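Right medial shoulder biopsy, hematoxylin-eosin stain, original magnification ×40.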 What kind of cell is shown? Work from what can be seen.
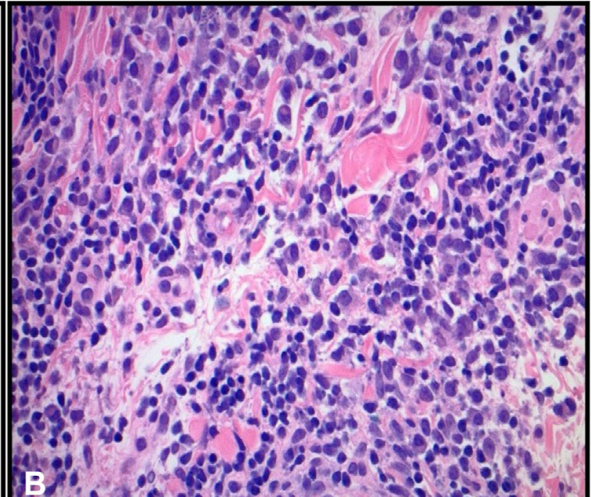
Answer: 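Monotonous centrocyte-like cells with plasmacytoid and plasma cells. Sheets of small to medium cells with dark, somewhat irregular nuclei fill the field. Some cells have eccentric nuclei with a rim of pink cytoplasm. Pink collagen bundles are scattered between the cells.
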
